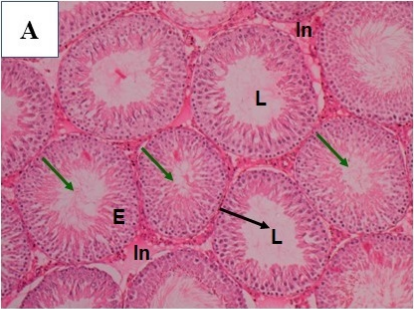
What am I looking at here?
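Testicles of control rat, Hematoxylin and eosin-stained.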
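The centre of most tubules holds a lumen filled with pale pink, wispy fibrillar material. Between neighbouring tubules lie narrow interstitial spaces containing pink-staining tissue and scattered cells.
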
